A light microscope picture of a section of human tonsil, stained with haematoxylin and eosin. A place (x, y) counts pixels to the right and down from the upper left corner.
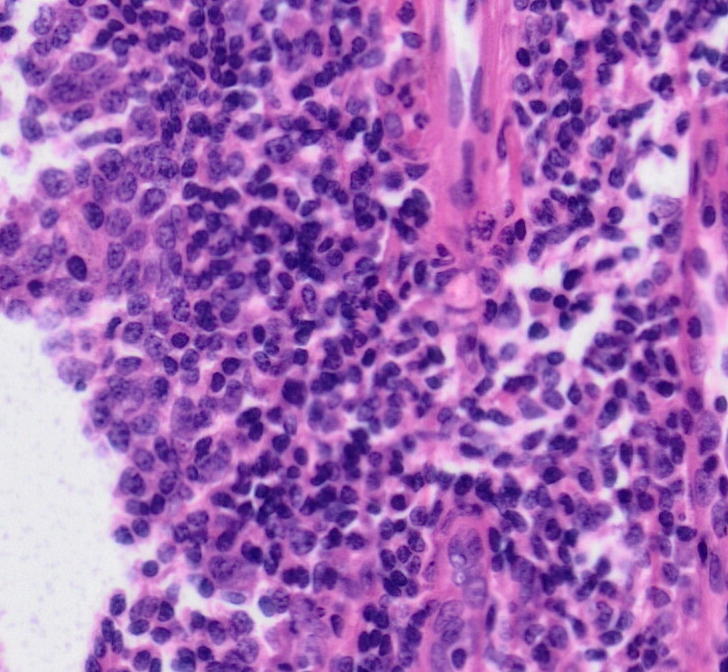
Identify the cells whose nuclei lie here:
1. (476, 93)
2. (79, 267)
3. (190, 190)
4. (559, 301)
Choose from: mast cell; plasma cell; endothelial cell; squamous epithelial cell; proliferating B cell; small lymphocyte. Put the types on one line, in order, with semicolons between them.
endothelial cell; proliferating B cell; small lymphocyte; small lymphocyte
